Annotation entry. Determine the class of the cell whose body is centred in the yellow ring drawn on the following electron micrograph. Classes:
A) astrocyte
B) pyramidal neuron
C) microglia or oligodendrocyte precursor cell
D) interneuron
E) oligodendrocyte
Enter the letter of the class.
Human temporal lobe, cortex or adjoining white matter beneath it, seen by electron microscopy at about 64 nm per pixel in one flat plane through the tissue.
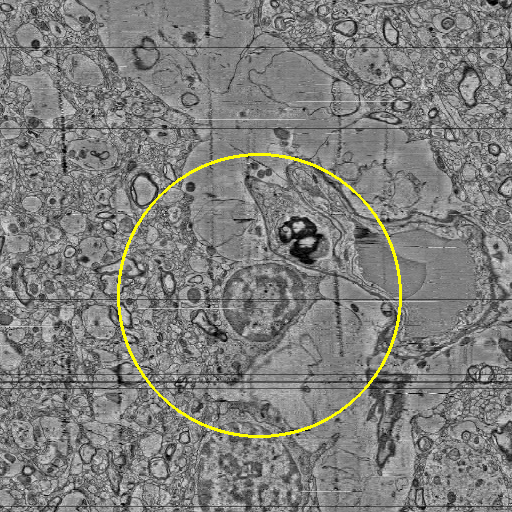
E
